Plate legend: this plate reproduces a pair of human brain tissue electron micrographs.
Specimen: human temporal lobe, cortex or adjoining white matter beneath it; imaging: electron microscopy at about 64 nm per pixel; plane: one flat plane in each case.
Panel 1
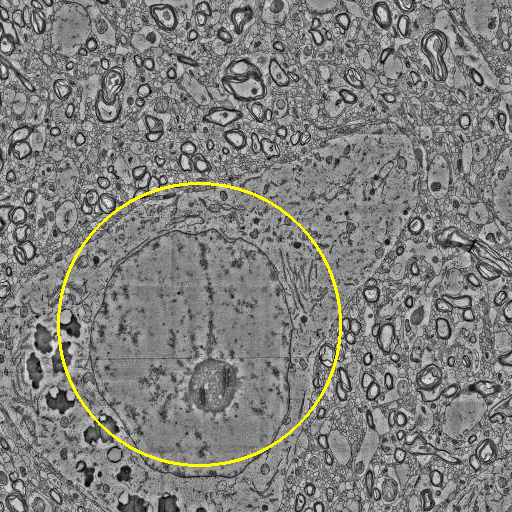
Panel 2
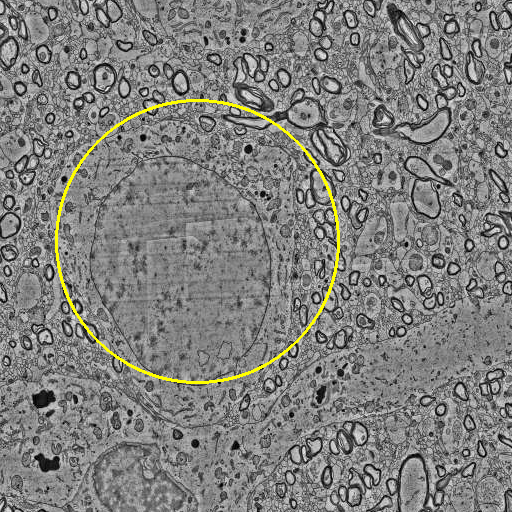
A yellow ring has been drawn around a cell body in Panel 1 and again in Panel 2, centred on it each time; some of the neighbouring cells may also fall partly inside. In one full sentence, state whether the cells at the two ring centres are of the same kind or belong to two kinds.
The ring-centred cells of Panel 1 and Panel 2 are of the same kind.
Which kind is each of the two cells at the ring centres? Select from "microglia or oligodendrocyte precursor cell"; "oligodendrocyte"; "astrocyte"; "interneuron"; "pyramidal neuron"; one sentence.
The cell at the ring centre is a pyramidal neuron in both pictures.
